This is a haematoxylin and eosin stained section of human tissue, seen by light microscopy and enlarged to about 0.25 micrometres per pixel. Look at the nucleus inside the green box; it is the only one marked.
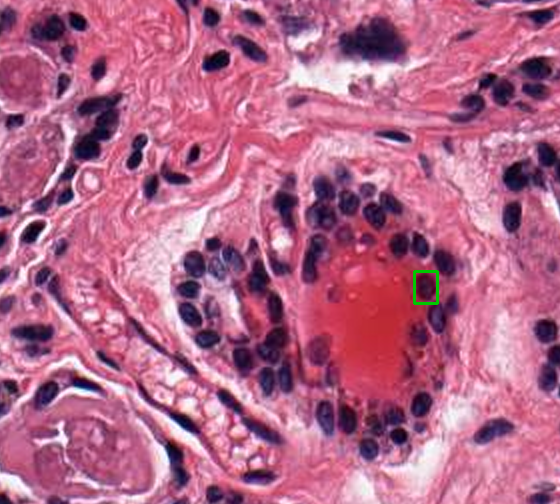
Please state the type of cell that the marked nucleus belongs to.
thyroid follicular cell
